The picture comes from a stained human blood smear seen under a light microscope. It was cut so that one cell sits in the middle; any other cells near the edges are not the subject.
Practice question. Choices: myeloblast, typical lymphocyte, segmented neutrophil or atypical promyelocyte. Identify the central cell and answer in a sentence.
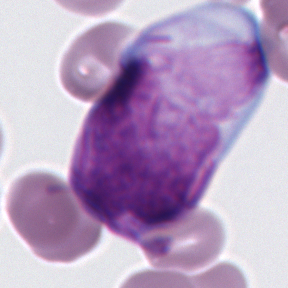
As for the central cell, it is an atypical promyelocyte.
